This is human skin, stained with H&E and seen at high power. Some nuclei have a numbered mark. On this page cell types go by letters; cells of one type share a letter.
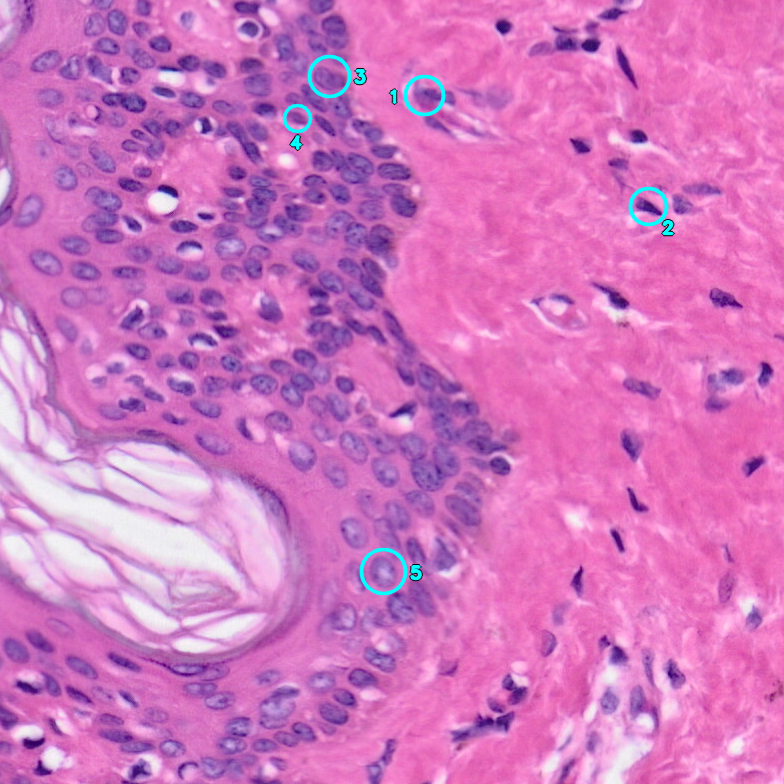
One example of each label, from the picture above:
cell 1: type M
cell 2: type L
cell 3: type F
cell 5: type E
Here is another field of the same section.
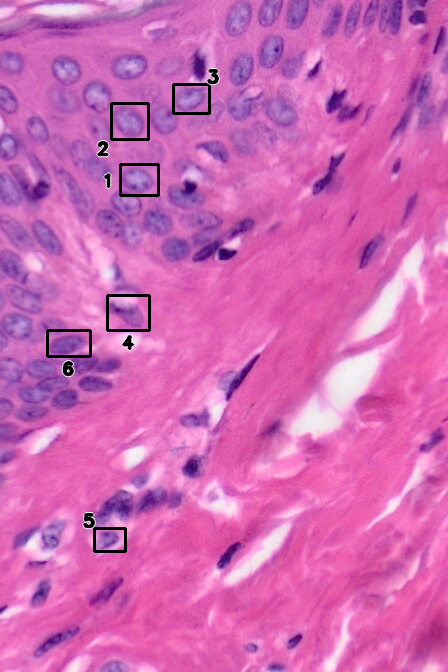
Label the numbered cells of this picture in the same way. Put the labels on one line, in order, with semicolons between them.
type E; type E; type E; type L; type M; type F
